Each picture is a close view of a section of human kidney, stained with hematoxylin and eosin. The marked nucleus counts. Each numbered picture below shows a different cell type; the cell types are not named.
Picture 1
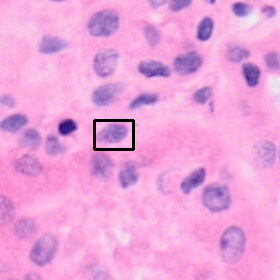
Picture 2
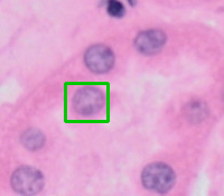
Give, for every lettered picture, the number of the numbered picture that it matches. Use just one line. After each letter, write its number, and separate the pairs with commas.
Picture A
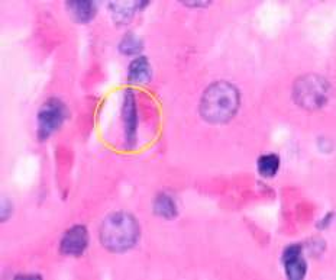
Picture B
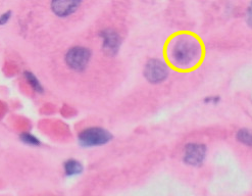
A 1, B 2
